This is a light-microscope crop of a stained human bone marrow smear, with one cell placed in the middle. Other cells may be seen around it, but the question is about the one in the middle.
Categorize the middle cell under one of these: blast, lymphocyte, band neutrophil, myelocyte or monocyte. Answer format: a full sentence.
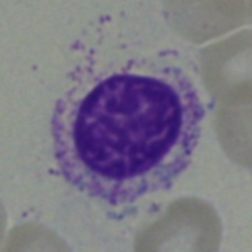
The cell around which this crop is centred is a myelocyte.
